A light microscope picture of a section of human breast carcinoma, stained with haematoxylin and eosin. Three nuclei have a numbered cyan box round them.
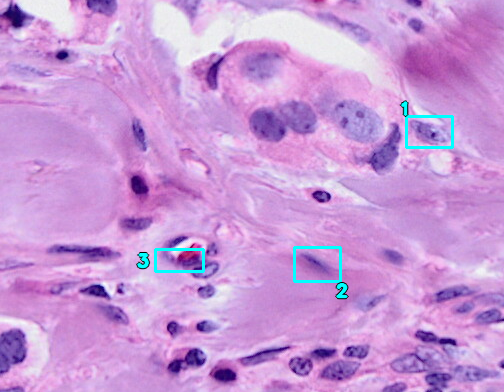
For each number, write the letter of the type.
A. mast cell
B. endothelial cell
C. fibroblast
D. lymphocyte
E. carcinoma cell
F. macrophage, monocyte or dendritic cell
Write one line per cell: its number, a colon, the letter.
1: C
2: C
3: B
